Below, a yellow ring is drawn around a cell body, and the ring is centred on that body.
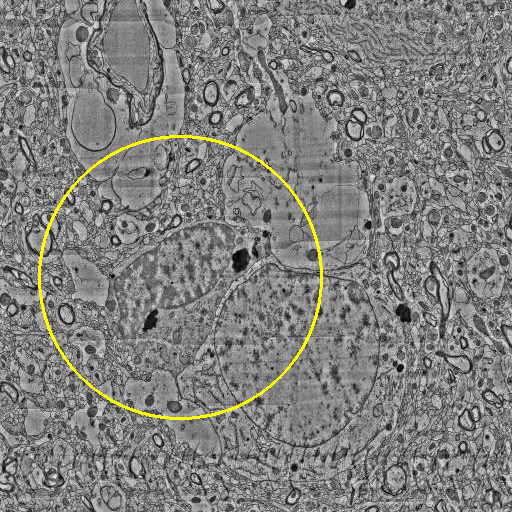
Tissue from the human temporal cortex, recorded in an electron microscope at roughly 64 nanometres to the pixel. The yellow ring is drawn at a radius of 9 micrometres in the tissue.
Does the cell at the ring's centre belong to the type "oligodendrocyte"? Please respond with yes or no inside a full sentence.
Yes, the centred cell inside the ring shown in the picture is of this type.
